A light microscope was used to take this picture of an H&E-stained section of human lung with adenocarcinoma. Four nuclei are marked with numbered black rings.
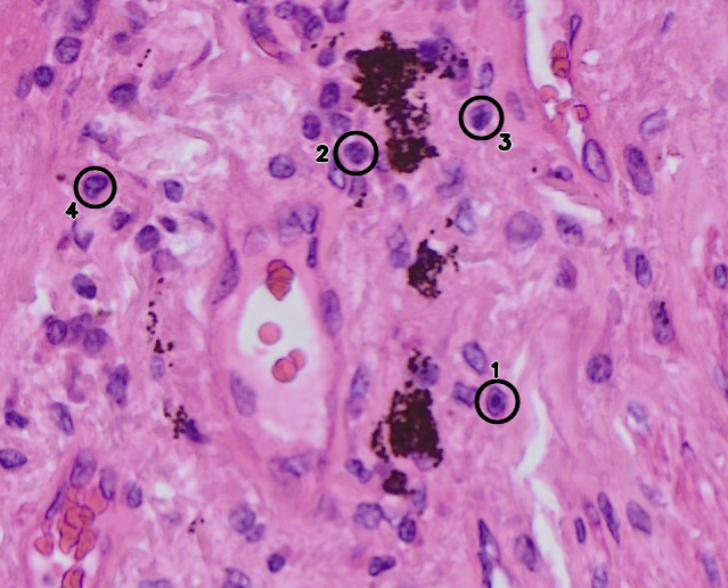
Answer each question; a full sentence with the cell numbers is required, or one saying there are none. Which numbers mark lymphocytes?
The cells that the numbers 1, 2 and 3 belong to are lymphocytes.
